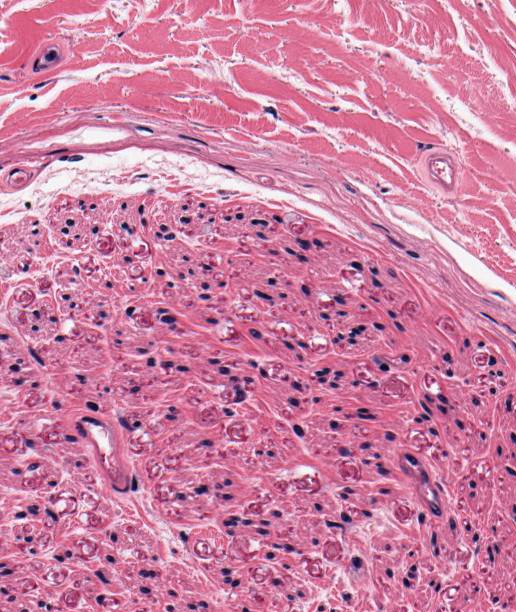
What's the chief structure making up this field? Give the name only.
nerve fascicle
